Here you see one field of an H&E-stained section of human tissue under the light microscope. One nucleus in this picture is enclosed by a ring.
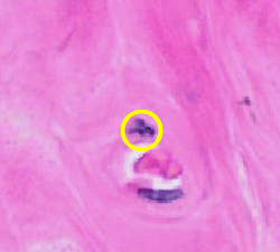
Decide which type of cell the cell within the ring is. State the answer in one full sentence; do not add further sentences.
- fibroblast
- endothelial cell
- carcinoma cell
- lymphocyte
For cell typing purposes, the cell within the ring is an endothelial cell.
